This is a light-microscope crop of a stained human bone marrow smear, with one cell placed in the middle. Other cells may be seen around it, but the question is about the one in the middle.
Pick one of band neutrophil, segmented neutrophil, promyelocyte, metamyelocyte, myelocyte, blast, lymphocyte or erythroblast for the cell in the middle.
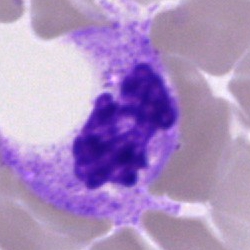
segmented neutrophil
